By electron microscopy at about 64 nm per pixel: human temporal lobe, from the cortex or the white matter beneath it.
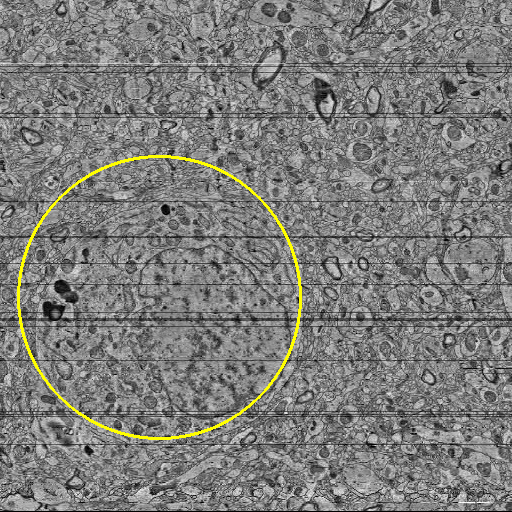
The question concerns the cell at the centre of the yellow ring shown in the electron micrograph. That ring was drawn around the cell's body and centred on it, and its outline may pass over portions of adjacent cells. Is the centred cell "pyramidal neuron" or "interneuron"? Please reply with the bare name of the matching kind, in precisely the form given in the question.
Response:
interneuron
